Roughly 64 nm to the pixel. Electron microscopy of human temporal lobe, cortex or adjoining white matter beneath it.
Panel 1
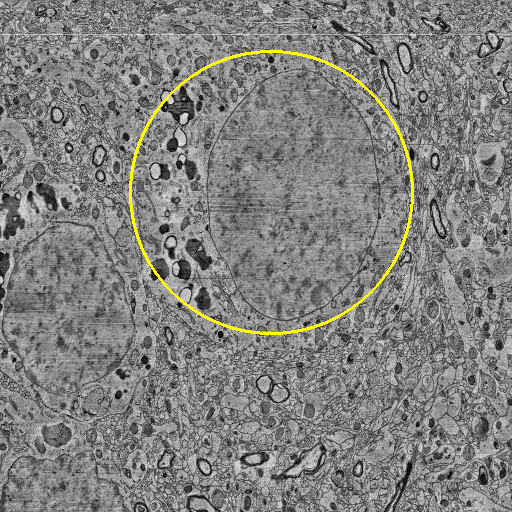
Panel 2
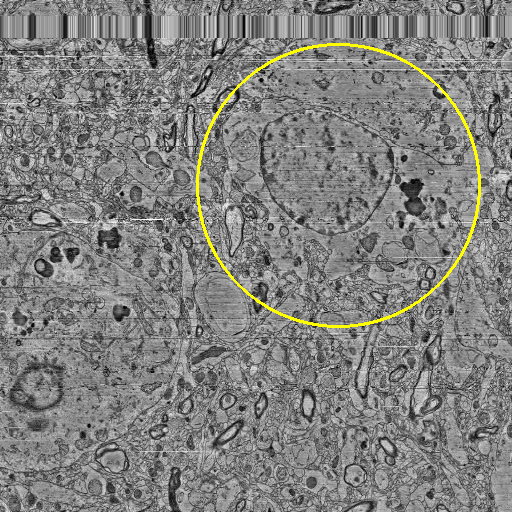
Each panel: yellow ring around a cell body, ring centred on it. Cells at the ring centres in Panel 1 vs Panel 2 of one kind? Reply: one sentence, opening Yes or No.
No, Panel 1 and Panel 2 have cells of two kinds at the ring centres.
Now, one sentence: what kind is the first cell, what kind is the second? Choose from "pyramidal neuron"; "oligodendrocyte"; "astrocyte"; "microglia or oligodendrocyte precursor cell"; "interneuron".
The first picture has a pyramidal neuron at its ring centre, and the second has an astrocyte.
